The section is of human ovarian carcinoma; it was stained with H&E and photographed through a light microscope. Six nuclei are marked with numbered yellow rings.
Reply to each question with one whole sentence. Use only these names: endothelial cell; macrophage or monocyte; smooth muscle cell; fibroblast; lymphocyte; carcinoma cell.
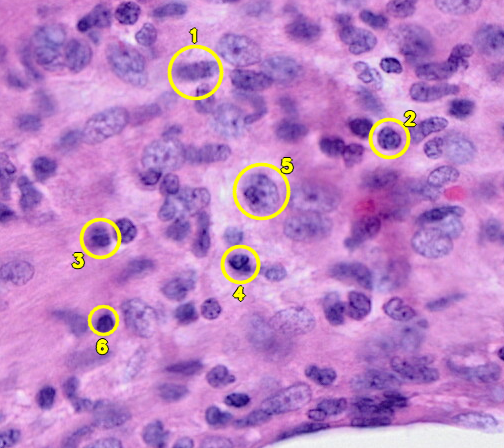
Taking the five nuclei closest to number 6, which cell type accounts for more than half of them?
Macrophages or monocytes make up most of the five nuclei closest to number 6.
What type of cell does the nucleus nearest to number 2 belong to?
Closest to number 2 lies the nucleus of a lymphocyte.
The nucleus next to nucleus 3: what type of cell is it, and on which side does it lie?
A lymphocyte lies closest, to the right of nucleus 3.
